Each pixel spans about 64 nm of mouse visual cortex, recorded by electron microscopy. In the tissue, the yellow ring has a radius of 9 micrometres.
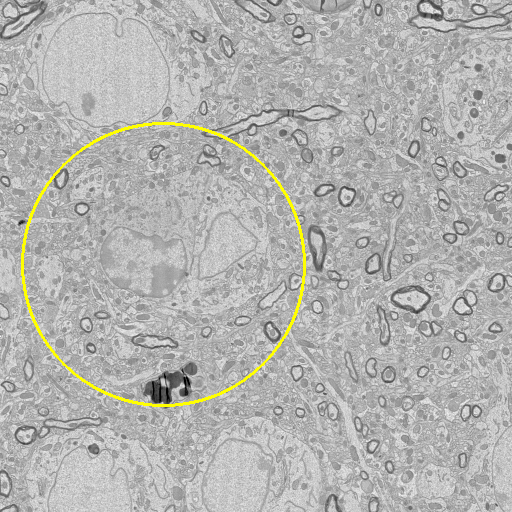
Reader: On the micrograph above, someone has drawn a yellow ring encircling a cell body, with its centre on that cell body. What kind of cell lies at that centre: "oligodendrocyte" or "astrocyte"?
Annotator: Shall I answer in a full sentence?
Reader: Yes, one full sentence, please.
Here an oligodendrocyte sits at the centre of the yellow ring drawn on the micrograph.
